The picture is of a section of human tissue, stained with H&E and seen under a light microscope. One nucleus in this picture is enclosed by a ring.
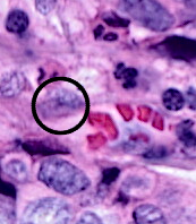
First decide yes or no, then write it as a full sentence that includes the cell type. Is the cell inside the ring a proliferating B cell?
No, what the cell inside the ring represents is an endothelial cell rather than a proliferating B cell.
